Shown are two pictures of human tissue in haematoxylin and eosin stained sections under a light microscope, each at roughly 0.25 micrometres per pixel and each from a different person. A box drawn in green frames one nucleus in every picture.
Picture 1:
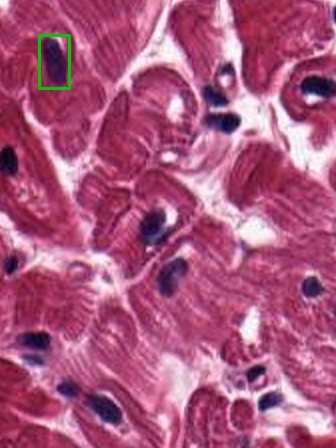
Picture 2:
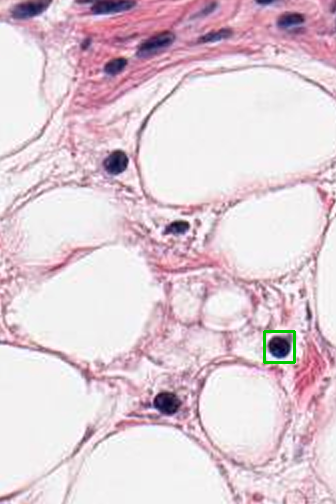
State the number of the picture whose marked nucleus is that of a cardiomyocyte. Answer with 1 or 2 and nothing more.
1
